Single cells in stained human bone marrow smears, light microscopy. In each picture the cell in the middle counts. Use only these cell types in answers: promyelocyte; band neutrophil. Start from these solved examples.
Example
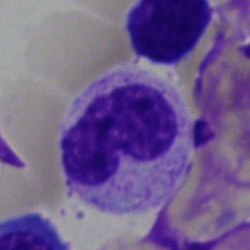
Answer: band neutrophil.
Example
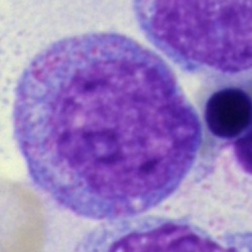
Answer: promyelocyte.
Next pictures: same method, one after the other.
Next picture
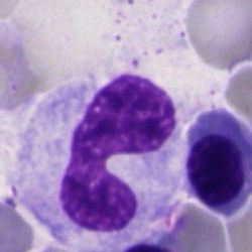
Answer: band neutrophil.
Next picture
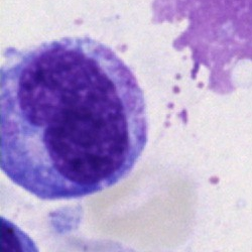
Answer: promyelocyte.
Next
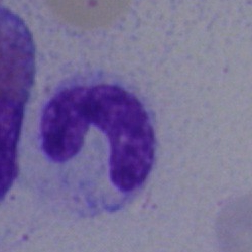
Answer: band neutrophil.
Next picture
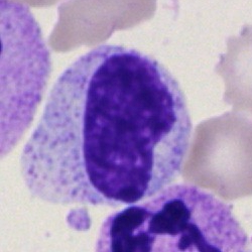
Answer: band neutrophil.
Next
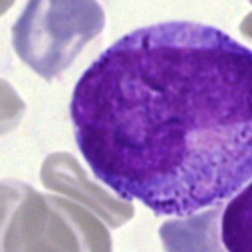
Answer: promyelocyte.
